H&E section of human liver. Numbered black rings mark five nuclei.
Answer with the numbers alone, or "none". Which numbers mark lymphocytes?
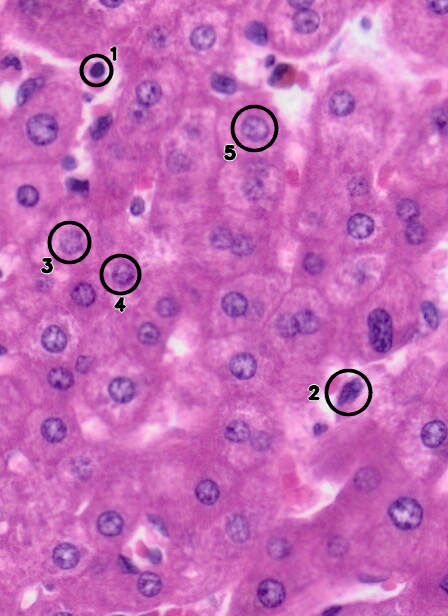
1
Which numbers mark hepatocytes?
3, 4, 5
